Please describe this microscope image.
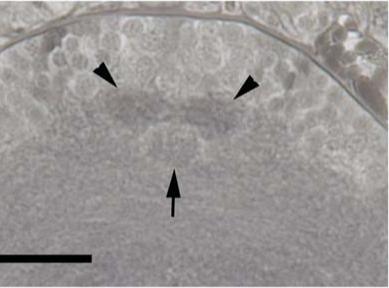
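Below the rind, two small darker, finely granular patches lie close together near the midline, set deeper than the outer cell bodies. Beneath them extends a broad, homogeneous, finely fibrous neuropil mass. Loose vacuolated tissue lies outside the sheath at the upper right corner.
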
